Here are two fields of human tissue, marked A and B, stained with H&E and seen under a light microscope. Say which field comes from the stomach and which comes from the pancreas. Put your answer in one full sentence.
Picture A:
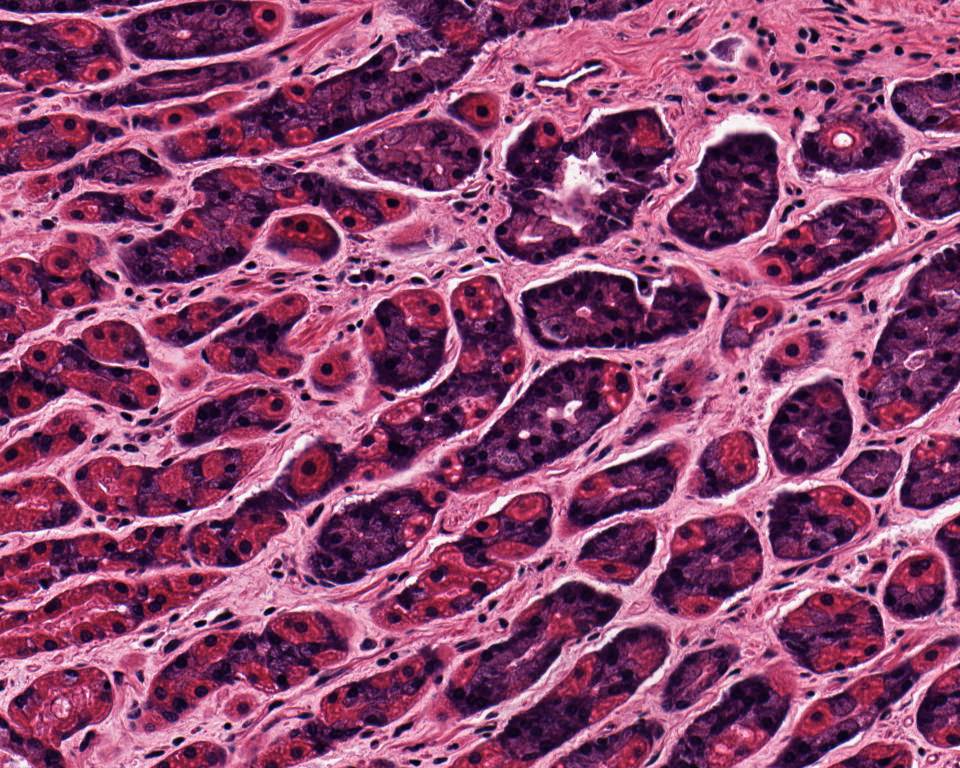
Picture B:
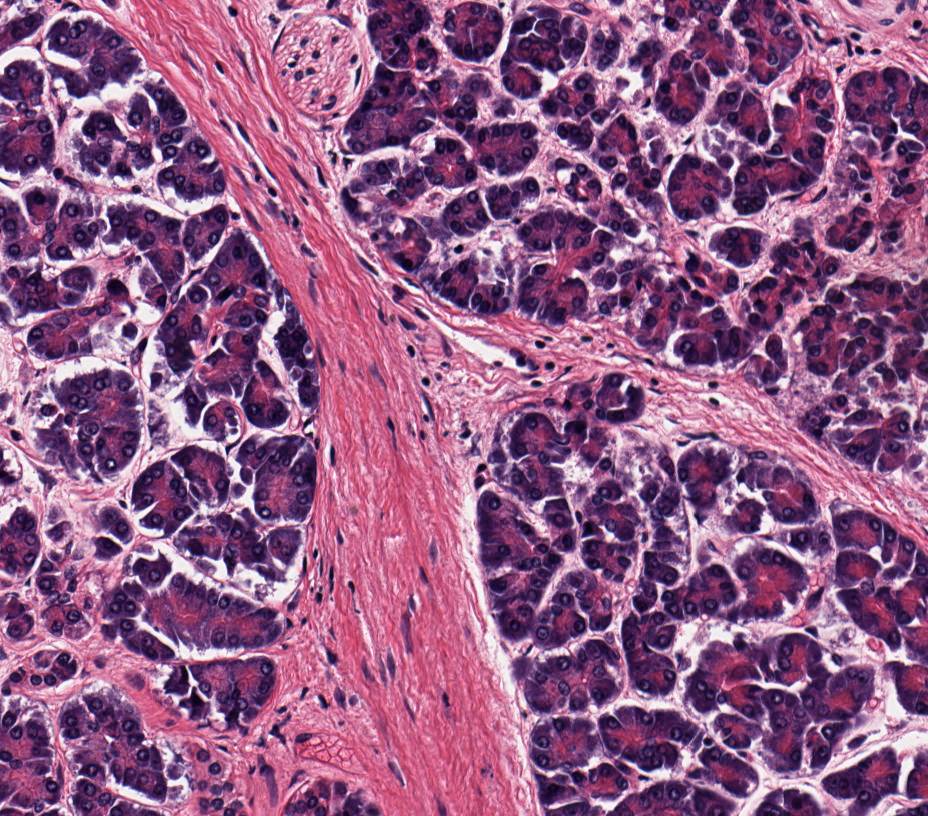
It is picture A that comes from the stomach, and picture B that comes from the pancreas.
